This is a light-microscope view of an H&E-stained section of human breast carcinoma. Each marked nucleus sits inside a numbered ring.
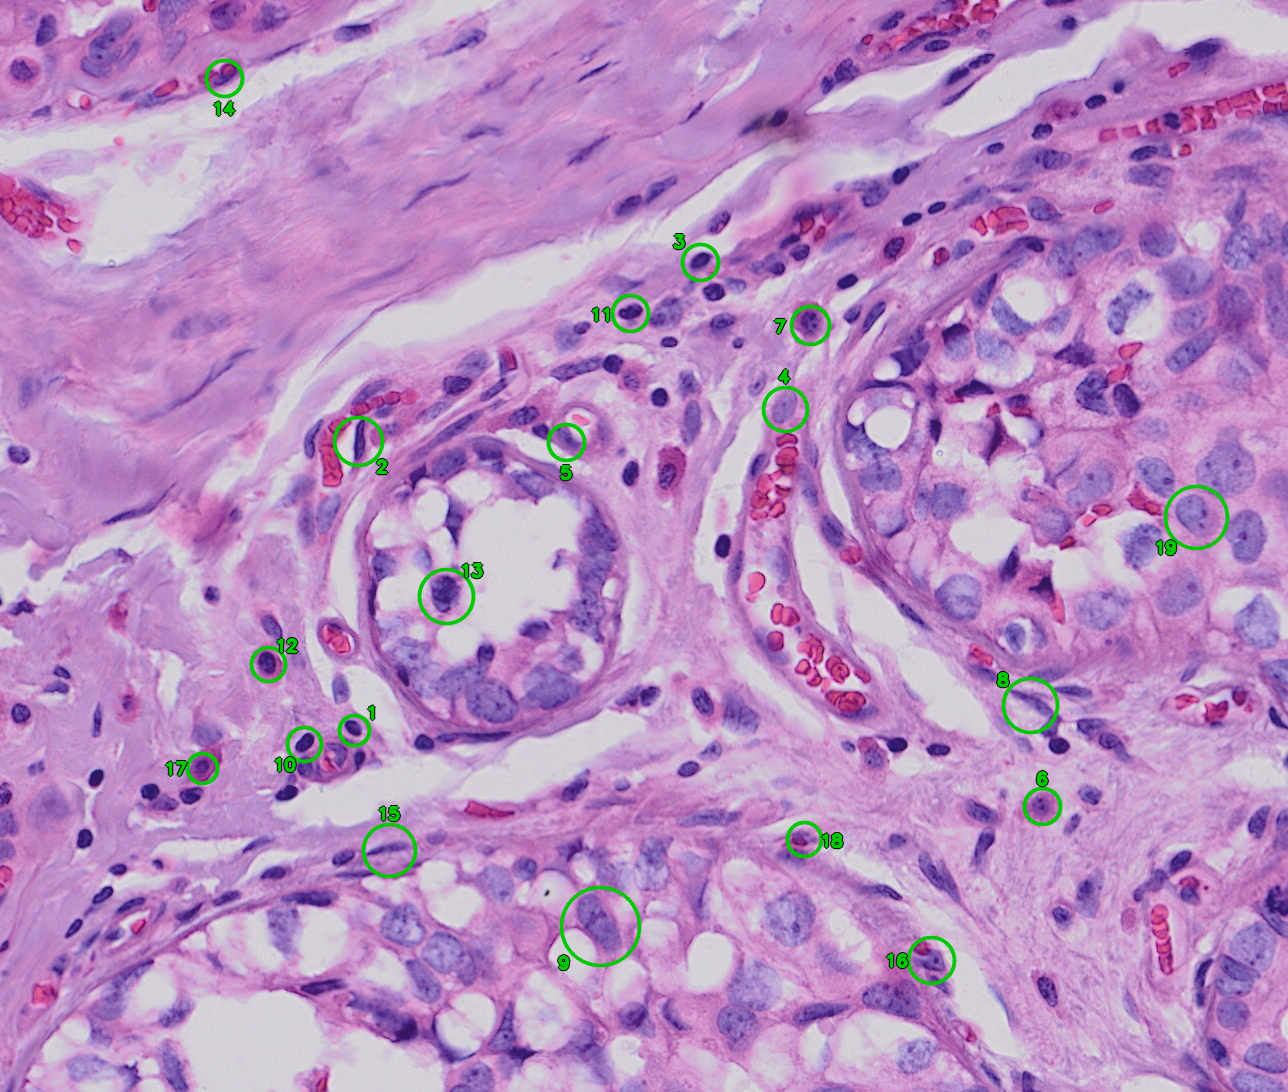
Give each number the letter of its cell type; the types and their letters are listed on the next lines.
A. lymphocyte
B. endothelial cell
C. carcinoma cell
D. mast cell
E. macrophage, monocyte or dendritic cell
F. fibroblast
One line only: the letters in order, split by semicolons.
A; B; A; B; B; D; D; F; C; A; A; D; C; B; F; B; D; B; C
